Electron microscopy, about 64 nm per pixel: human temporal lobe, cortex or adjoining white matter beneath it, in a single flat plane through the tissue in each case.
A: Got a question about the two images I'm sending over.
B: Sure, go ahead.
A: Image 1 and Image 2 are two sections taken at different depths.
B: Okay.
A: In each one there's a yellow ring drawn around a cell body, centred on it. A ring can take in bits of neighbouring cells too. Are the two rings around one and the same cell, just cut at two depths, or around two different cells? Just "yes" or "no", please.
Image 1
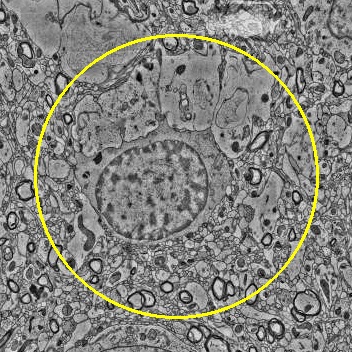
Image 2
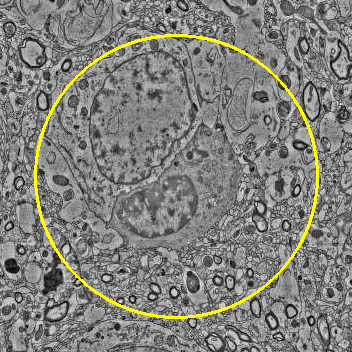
yes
